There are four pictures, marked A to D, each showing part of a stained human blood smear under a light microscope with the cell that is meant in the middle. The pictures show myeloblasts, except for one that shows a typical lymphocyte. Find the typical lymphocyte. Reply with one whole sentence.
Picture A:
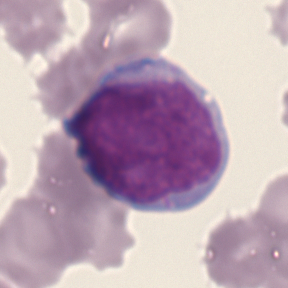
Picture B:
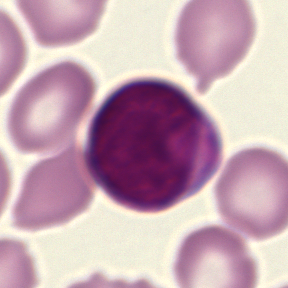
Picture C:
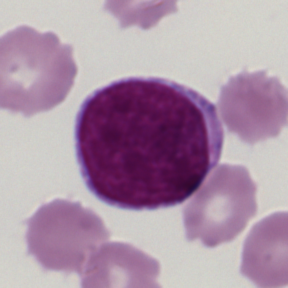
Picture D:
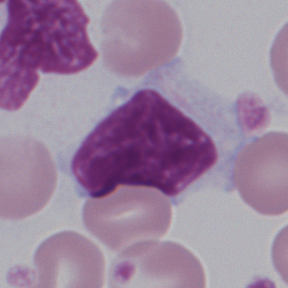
The picture with the typical lymphocyte is D.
